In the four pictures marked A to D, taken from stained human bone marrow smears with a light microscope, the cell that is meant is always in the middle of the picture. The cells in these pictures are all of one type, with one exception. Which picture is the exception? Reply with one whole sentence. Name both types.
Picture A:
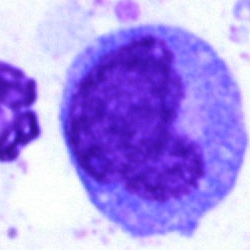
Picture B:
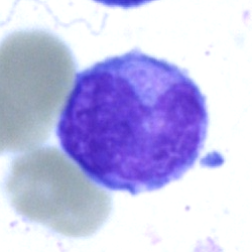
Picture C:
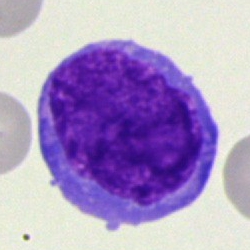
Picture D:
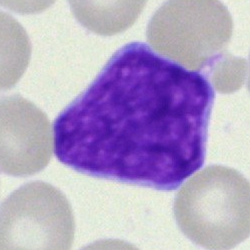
All pictures except A show blasts; picture A shows a monocyte.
